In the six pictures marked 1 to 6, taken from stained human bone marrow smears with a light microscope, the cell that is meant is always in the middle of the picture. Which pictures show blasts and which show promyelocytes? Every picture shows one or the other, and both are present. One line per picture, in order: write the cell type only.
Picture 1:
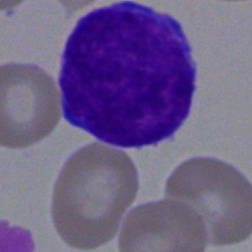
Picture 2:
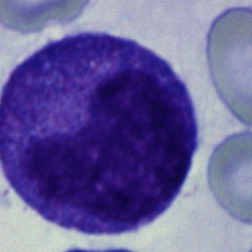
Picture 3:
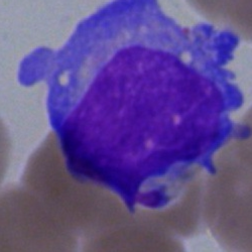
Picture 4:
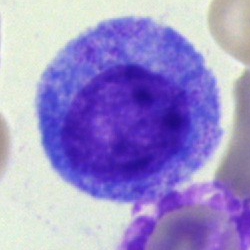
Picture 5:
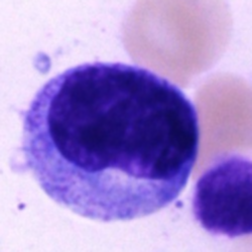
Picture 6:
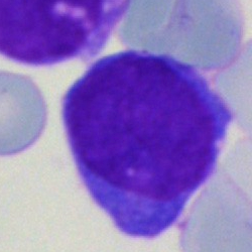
blast
promyelocyte
blast
promyelocyte
promyelocyte
blast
